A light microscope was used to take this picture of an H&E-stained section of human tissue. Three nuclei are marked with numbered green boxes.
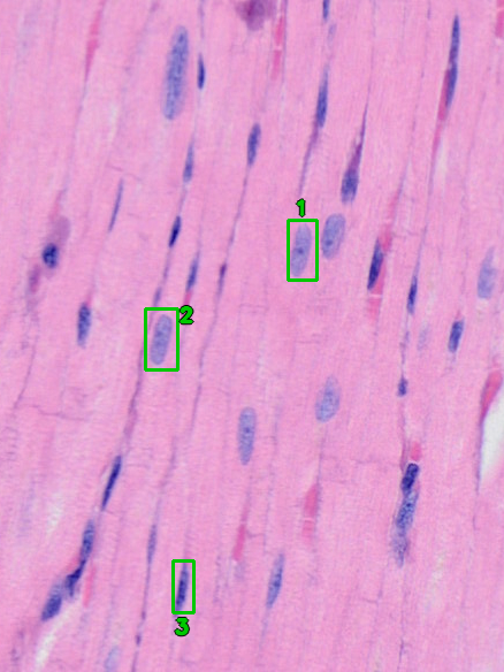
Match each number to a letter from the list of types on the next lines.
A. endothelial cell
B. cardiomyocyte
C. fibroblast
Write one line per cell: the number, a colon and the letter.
1: B
2: B
3: A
